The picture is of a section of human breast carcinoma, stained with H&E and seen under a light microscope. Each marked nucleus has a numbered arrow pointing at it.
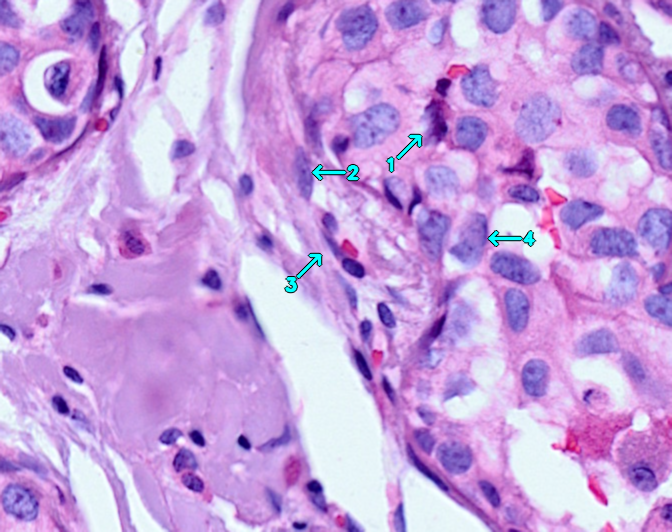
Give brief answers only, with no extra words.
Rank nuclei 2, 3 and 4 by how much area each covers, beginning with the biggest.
4, 2, 3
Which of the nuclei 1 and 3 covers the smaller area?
3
